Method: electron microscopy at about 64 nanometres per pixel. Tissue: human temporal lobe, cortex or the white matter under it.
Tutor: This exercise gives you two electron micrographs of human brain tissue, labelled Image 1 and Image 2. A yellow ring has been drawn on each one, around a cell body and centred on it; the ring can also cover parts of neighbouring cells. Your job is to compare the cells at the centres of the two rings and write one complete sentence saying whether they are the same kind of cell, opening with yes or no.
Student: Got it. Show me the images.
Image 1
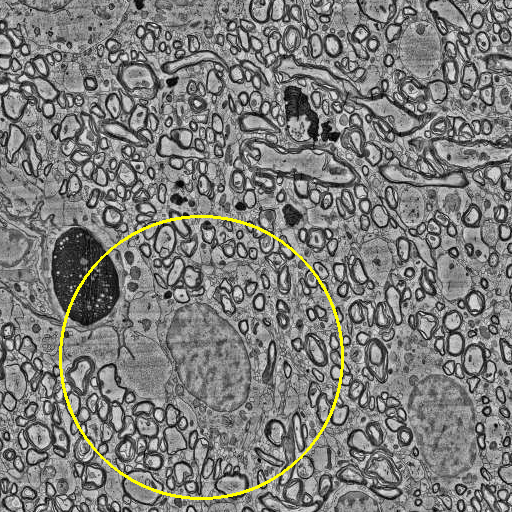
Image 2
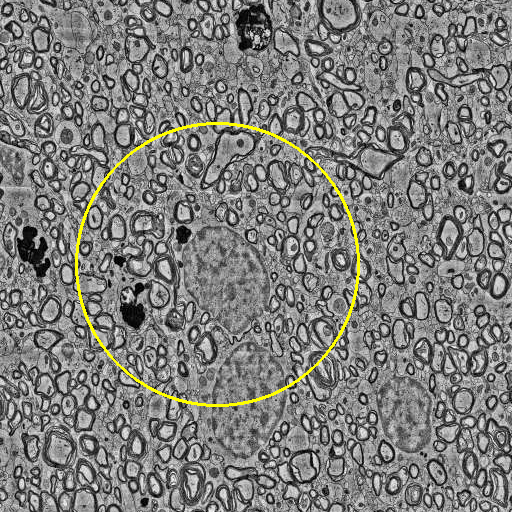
Yes, the two cells belong to the same kind.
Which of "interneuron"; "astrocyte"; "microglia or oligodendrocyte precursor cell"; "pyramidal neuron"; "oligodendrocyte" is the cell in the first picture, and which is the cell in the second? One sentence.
Each of the two pictures has an oligodendrocyte at the ring centre.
